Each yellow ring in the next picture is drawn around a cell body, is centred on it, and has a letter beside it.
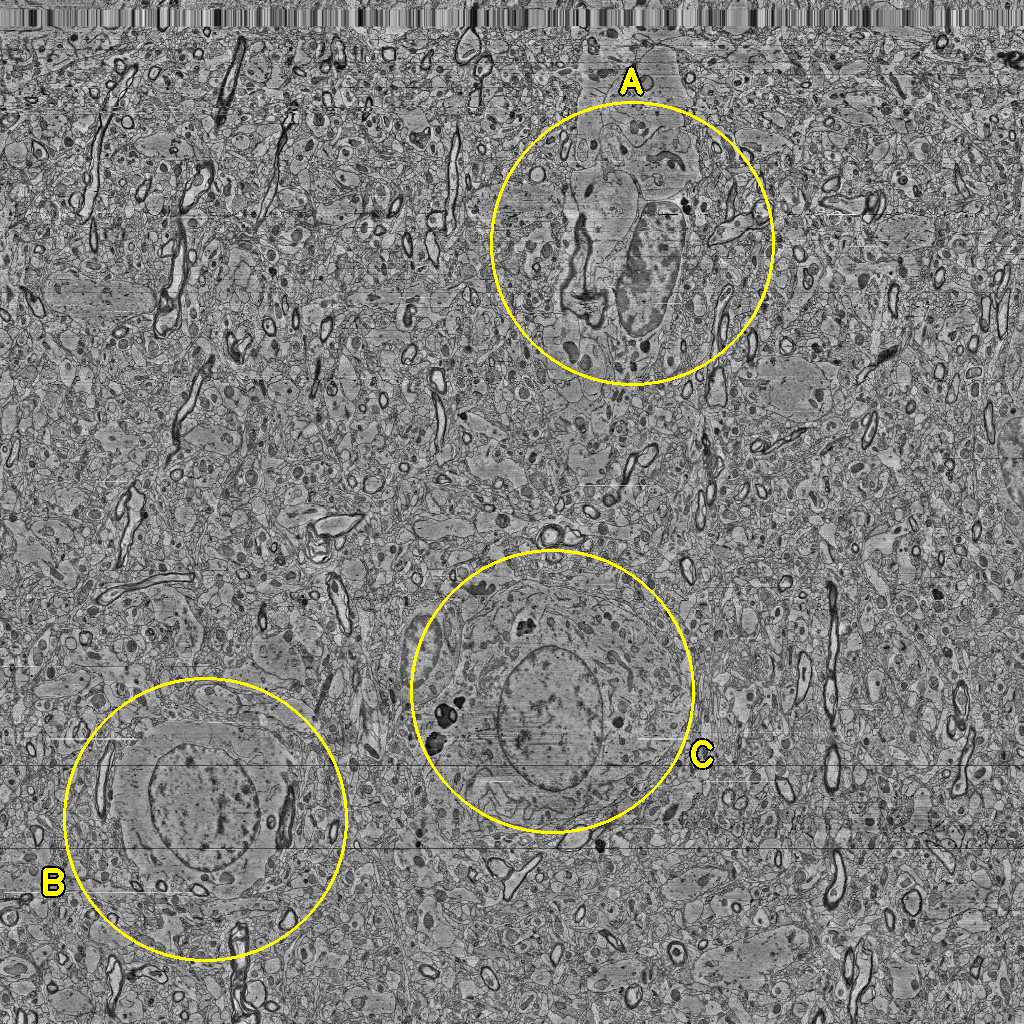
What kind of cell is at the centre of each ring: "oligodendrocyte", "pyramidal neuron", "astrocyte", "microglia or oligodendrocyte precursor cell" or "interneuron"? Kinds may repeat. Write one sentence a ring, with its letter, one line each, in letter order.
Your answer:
The centre of ring A falls on a microglial cell or oligodendrocyte precursor cell.
The centre of ring B falls on an astrocyte.
The centre of ring C falls on a pyramidal neuron.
